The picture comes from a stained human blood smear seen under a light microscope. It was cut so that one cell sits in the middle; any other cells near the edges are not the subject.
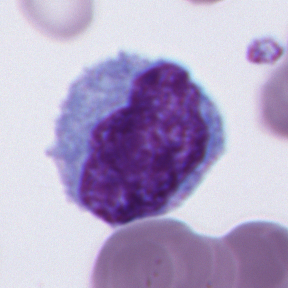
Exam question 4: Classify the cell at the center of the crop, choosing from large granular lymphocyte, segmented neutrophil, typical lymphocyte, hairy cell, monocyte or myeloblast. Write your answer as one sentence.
The cell of interest, in the center, is a monocyte.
